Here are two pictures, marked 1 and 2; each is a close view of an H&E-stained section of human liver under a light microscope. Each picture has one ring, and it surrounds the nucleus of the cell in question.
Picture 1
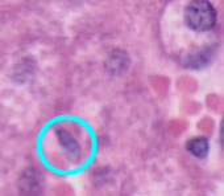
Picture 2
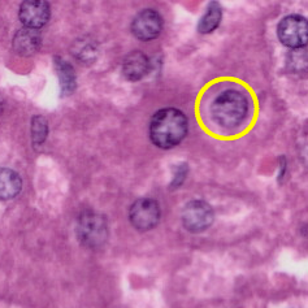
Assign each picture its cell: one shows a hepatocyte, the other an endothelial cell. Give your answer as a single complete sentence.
Picture 1 shows an endothelial cell and picture 2 shows a hepatocyte.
